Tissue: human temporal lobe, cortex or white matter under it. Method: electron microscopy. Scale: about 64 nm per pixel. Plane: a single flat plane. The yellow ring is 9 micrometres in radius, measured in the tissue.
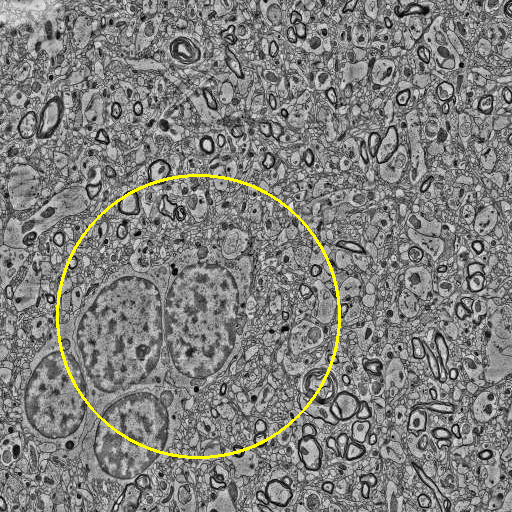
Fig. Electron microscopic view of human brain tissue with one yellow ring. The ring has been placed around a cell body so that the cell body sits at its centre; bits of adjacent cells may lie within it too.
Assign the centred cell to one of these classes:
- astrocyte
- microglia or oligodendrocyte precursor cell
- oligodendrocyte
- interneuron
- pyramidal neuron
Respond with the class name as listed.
oligodendrocyte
